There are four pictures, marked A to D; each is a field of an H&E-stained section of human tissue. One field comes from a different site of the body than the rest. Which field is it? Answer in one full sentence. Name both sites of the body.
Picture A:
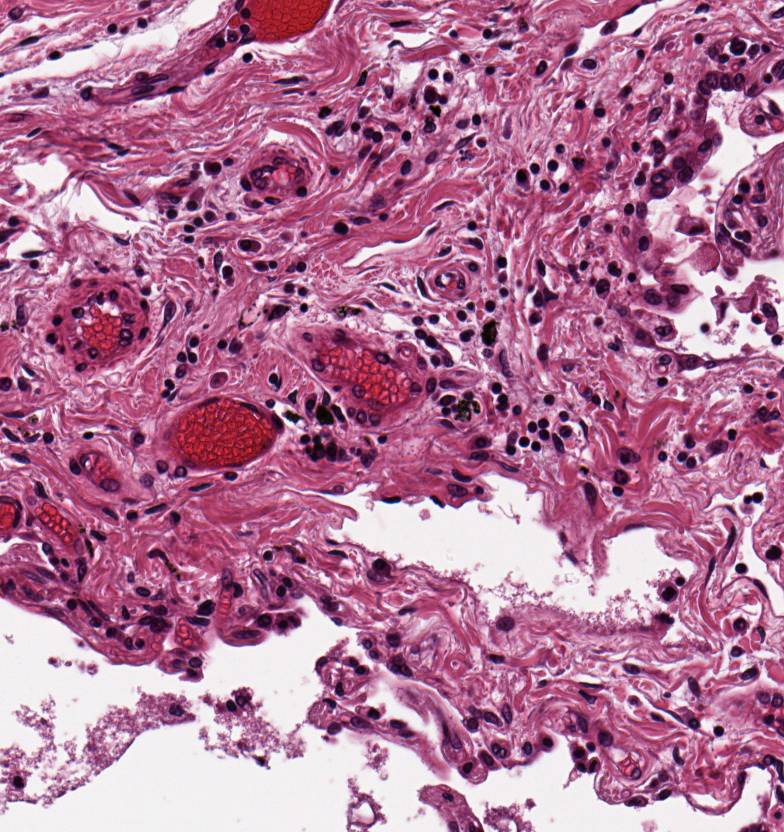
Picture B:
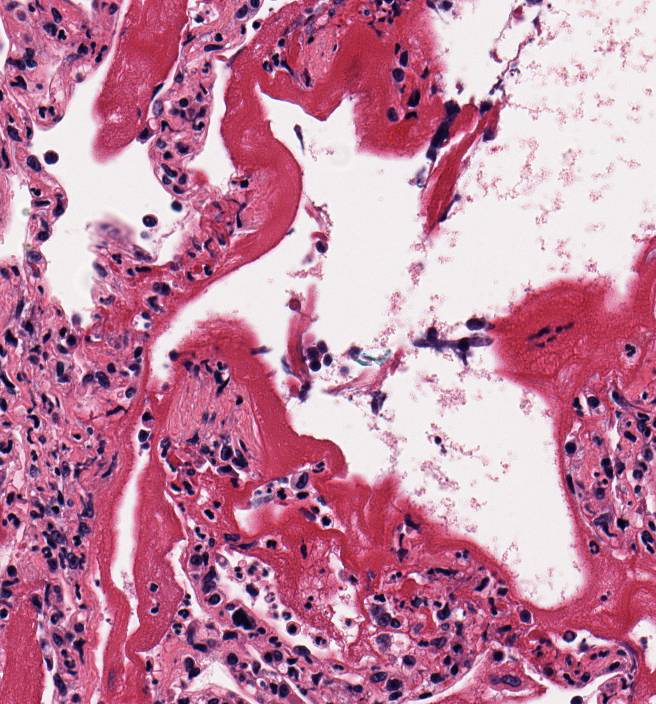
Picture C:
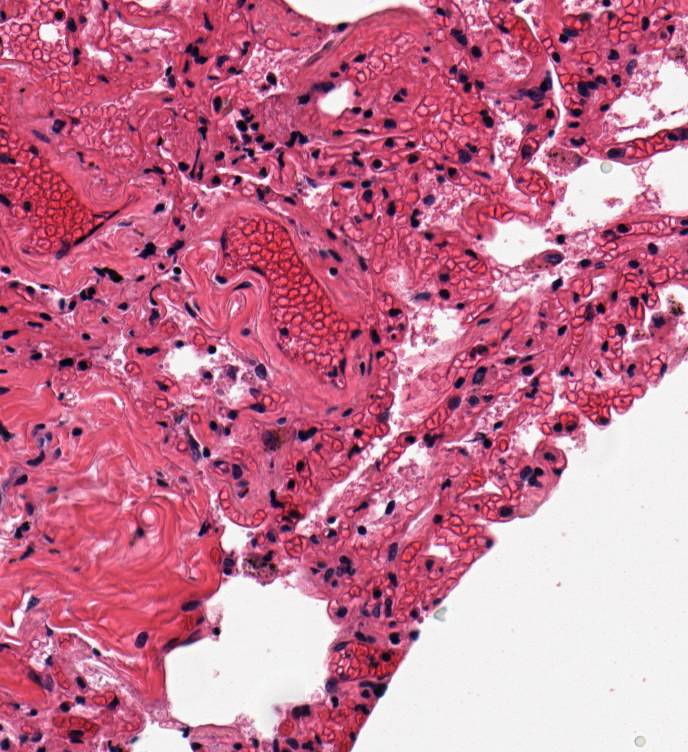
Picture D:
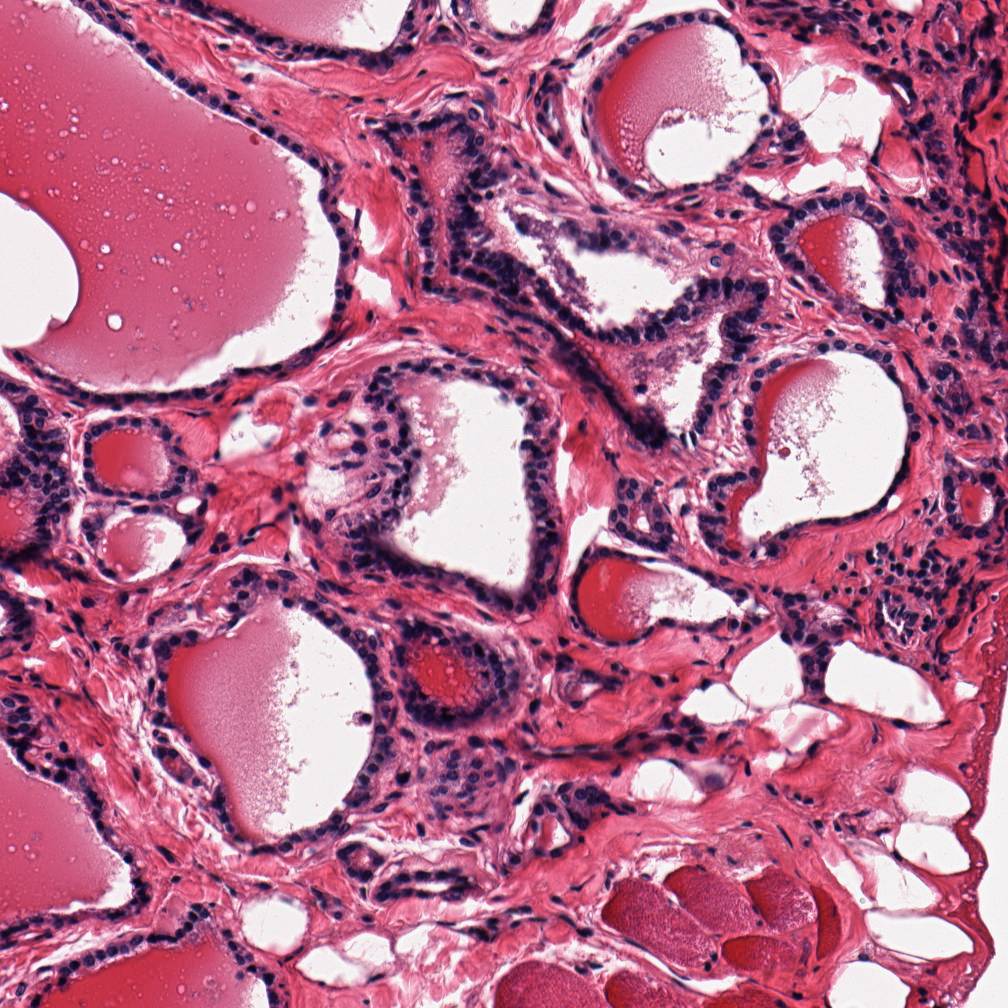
The others come from the lung, but picture D comes from the thyroid.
